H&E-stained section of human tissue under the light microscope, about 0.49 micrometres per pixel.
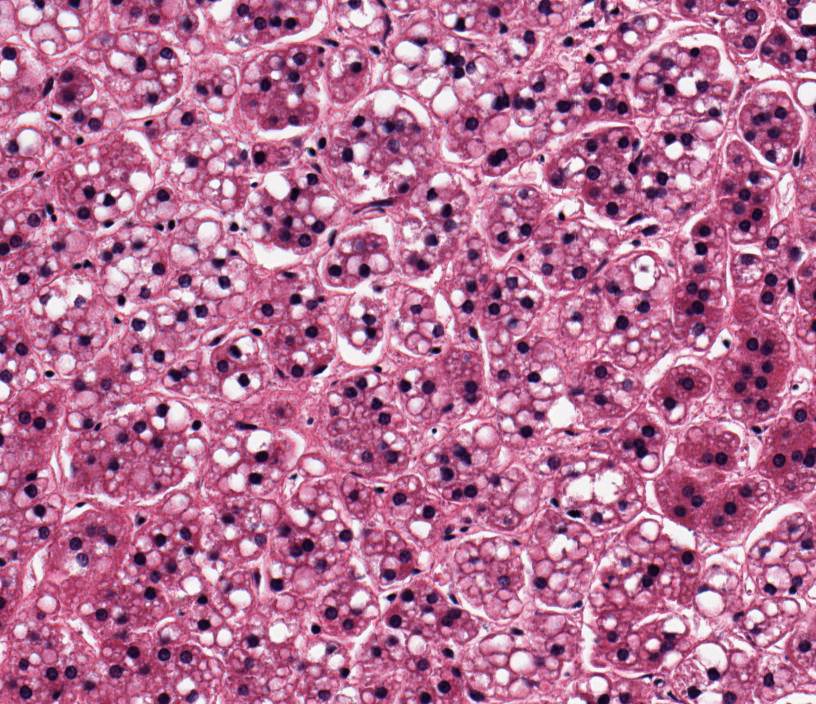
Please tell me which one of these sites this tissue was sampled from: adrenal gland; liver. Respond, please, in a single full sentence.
The tissue sectioned for this slide came from the adrenal gland.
